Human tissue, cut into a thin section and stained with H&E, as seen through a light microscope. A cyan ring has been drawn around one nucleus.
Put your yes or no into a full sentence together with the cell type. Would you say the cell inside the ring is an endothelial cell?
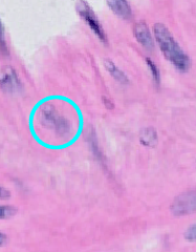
Yes, in terms of cell type, the cell inside the ring is an endothelial cell.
